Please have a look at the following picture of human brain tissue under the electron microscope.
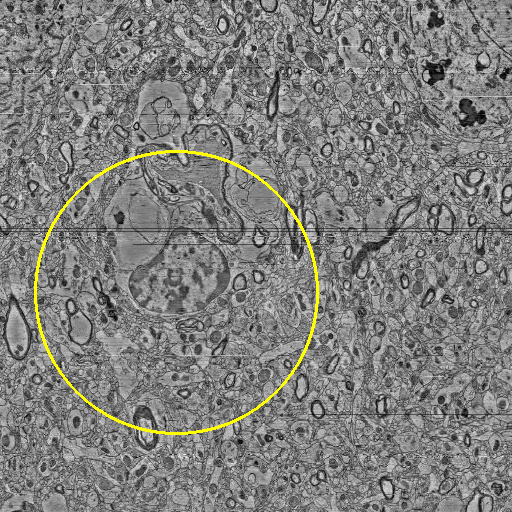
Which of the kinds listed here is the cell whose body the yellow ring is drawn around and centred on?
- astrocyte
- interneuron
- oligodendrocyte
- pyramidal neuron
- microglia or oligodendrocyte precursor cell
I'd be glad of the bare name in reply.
microglia or oligodendrocyte precursor cell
